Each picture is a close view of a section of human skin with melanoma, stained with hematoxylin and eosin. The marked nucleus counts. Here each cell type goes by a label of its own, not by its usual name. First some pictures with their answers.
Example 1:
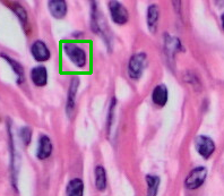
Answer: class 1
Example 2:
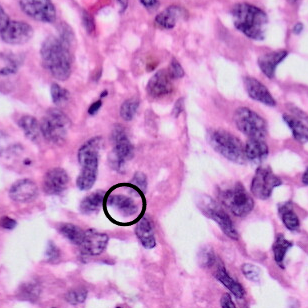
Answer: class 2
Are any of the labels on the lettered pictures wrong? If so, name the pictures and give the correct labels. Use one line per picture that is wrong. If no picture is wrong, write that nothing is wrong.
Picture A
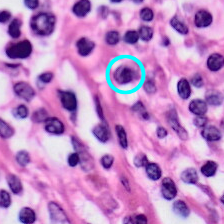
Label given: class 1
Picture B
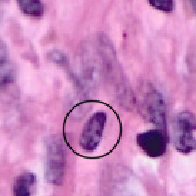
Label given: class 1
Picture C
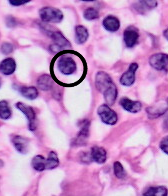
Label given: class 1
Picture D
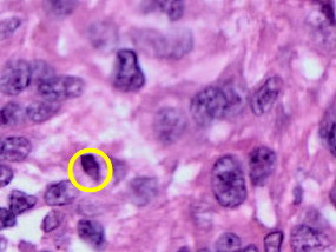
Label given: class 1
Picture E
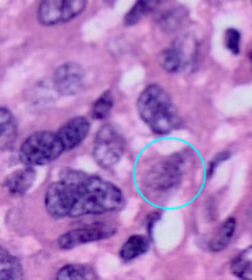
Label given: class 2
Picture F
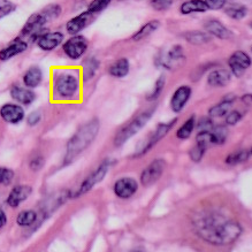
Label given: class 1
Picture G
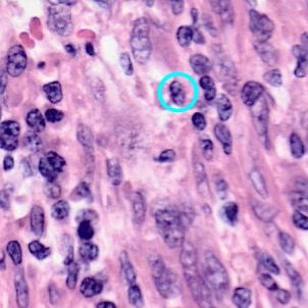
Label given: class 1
D: not class 1 but class 2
